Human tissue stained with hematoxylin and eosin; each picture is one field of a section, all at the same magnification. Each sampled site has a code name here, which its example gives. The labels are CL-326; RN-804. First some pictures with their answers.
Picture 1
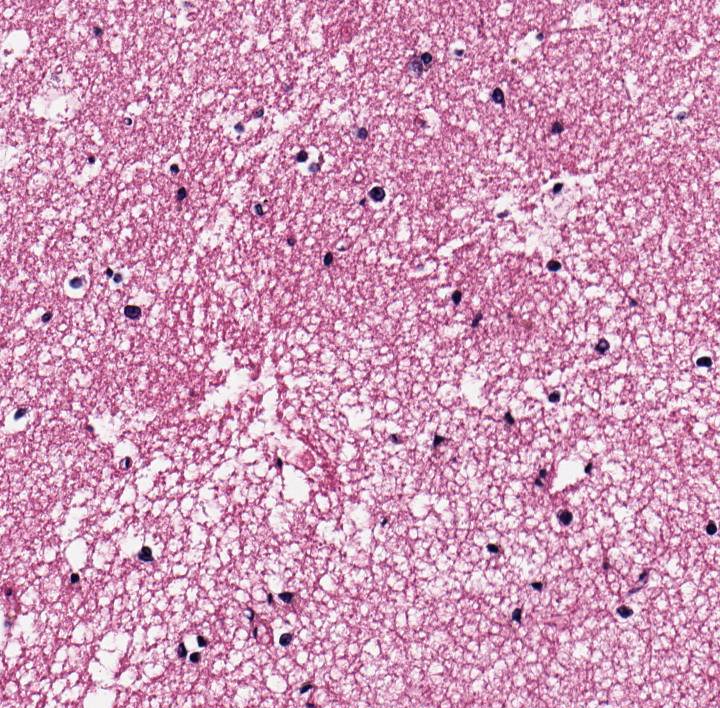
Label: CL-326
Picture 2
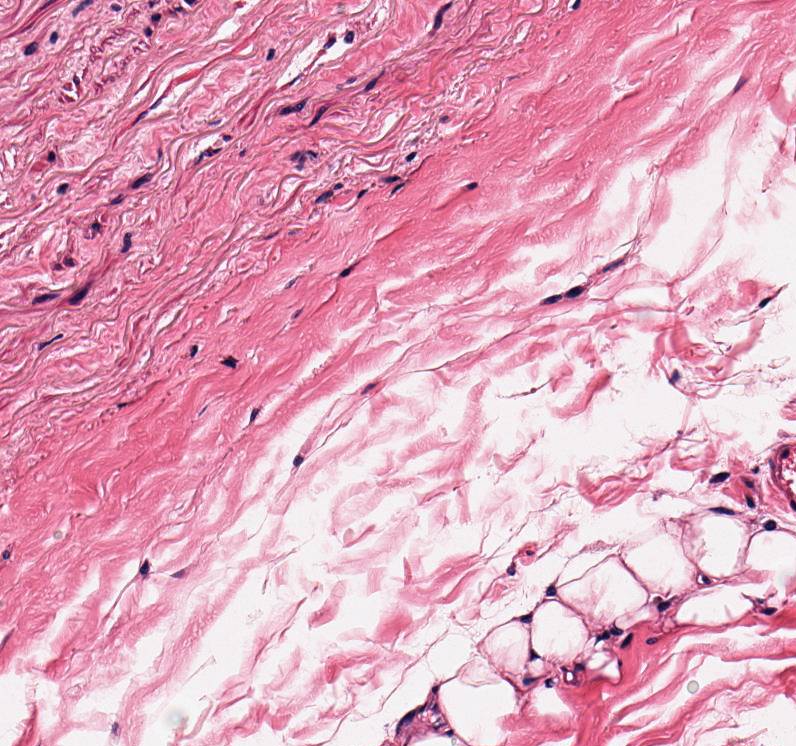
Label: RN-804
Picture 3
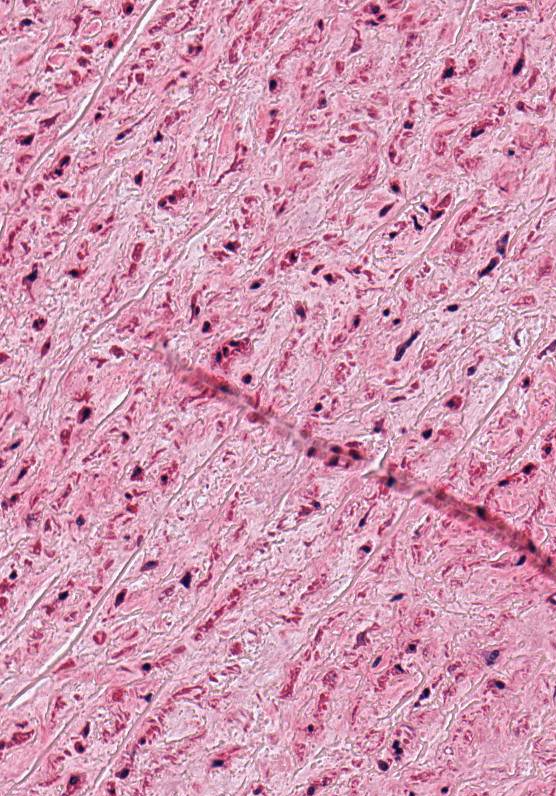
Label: RN-804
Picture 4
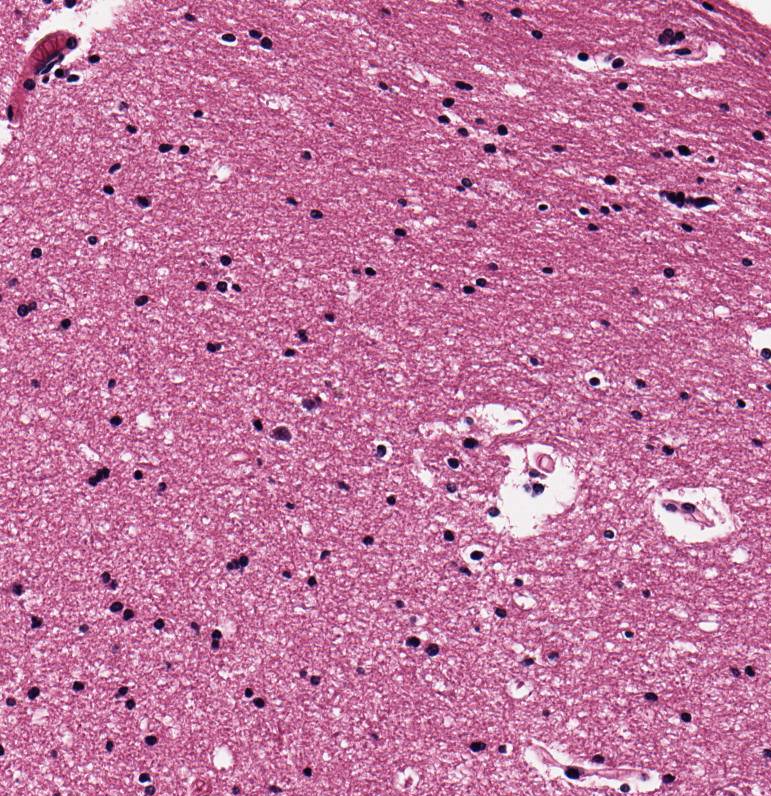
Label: CL-326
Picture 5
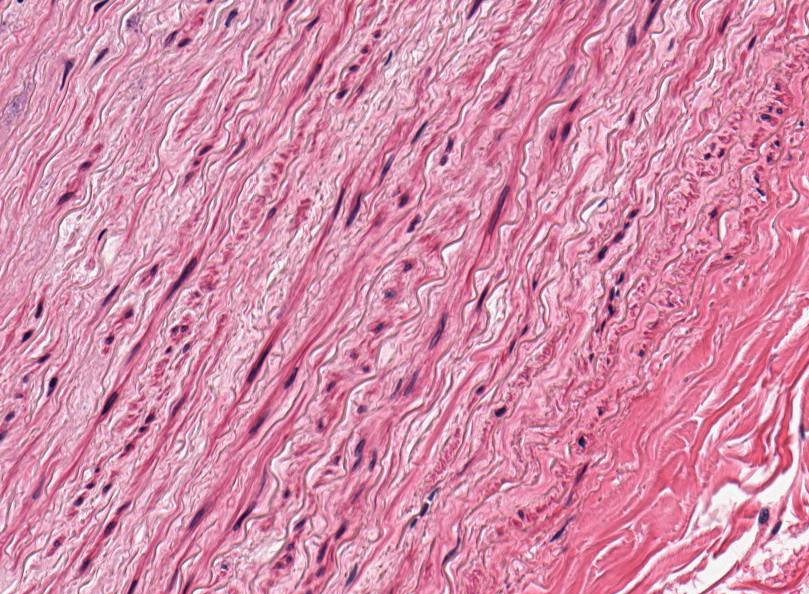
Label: RN-804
